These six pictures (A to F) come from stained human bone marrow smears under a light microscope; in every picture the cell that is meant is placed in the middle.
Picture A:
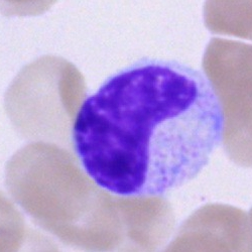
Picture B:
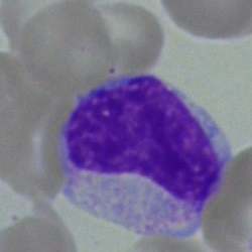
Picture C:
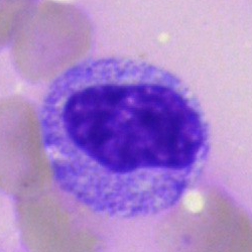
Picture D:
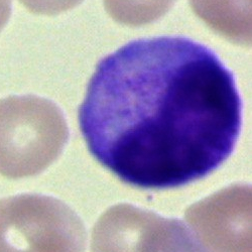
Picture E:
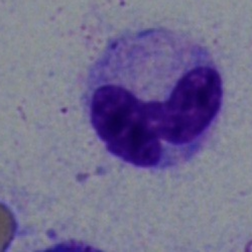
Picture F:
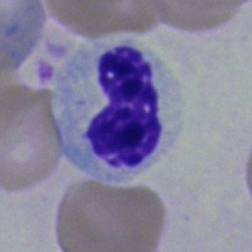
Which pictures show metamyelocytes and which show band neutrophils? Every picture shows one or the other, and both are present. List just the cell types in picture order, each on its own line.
metamyelocyte
metamyelocyte
metamyelocyte
metamyelocyte
band neutrophil
band neutrophil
